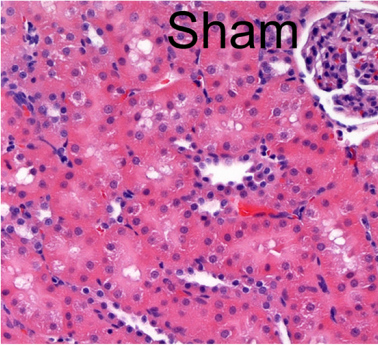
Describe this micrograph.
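Kidney cortex with a glomerulus at upper right and closely packed tubules. The tubules are lined by cells with pink cytoplasm and round purple nuclei. The lumens are small and open, so the tubular architecture looks intact.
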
